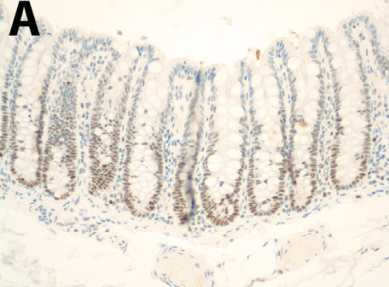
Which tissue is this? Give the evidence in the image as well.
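Regular, evenly spaced straight crypts rich in goblet cells. Muscularis mucosae and submucosa below the crypt bases.
Hence: Normal colon.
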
